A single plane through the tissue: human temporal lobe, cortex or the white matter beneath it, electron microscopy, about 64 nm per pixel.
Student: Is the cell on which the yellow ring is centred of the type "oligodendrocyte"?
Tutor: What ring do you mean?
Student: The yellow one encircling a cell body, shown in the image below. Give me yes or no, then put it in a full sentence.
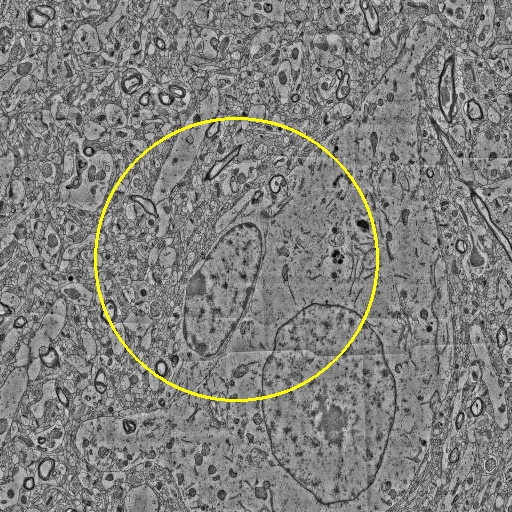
No, the cell on which the yellow ring in the image is centred has a different type.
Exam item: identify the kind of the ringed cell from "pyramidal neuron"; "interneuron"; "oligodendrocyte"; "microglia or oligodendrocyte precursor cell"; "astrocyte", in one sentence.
At the centre of the ring sits a microglial cell or oligodendrocyte precursor cell.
